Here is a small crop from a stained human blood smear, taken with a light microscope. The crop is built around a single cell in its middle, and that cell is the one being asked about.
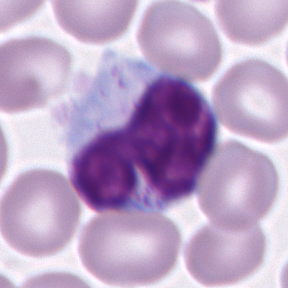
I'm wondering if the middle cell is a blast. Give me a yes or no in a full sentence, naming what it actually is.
No, what lies at the heart of the crop is a large granular lymphocyte, not a blast.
